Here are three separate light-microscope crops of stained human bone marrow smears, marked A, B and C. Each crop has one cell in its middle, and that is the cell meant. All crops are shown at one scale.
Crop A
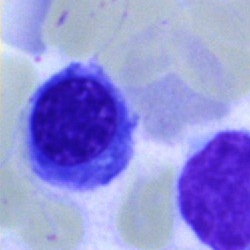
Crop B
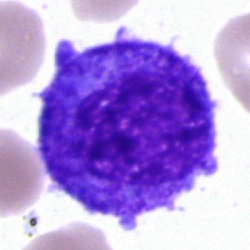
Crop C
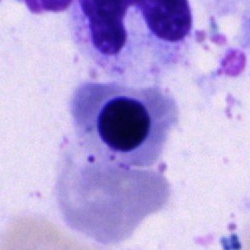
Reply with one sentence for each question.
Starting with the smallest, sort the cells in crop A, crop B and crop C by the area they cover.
The order is C, A, B, beginning with the smallest.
